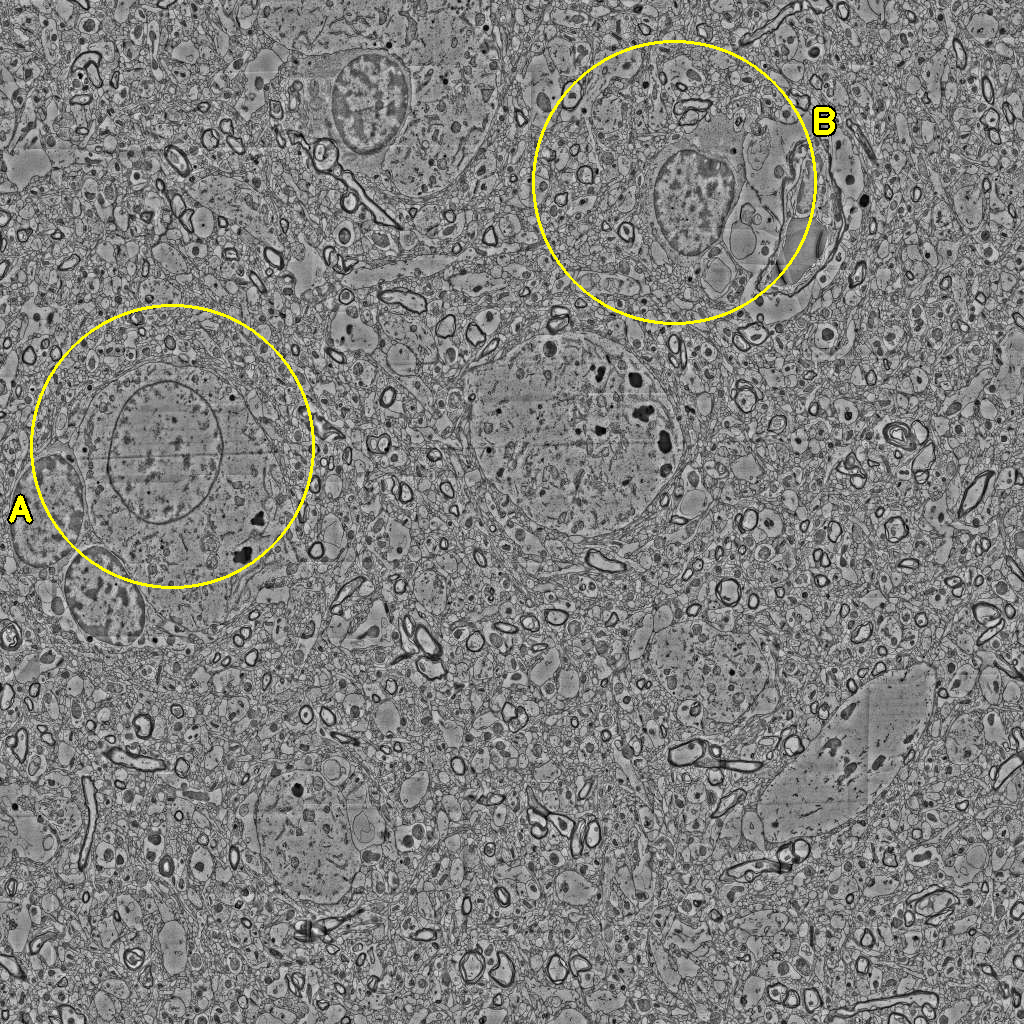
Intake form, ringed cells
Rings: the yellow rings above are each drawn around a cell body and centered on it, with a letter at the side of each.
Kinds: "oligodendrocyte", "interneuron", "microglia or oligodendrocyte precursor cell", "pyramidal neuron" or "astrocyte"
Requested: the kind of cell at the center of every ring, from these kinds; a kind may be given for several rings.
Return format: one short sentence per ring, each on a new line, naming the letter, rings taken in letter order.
In the center of ring A there is a pyramidal neuron.
In the center of ring B there is an oligodendrocyte.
